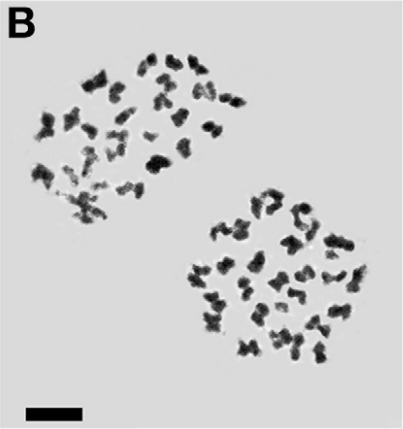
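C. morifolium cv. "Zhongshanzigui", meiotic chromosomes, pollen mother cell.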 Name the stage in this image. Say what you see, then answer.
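Chromosomes lie in two separate groups at opposite sides. Many chromosomes in each group still show two arms joined at one point, X-shaped.
Hence: anaphase I.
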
